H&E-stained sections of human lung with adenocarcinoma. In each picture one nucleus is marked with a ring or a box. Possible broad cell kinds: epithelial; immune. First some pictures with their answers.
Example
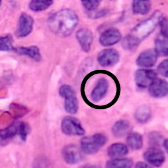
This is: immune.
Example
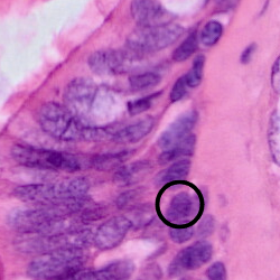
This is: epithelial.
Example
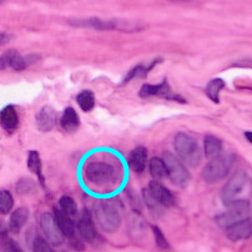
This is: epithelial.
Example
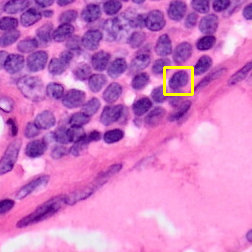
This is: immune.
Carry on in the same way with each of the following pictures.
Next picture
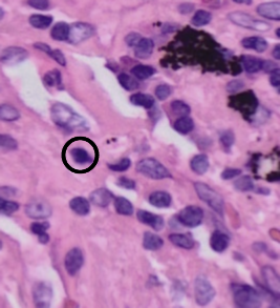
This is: immune.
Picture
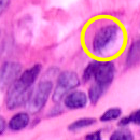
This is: epithelial.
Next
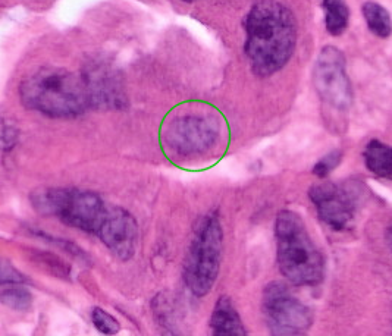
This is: epithelial.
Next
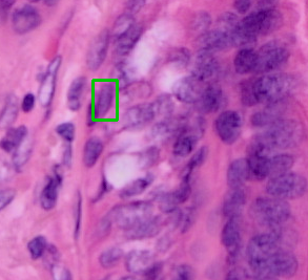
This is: epithelial.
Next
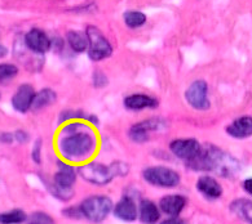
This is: immune.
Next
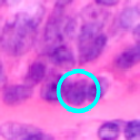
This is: epithelial.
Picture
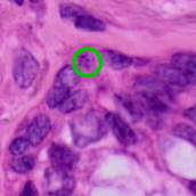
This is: epithelial.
